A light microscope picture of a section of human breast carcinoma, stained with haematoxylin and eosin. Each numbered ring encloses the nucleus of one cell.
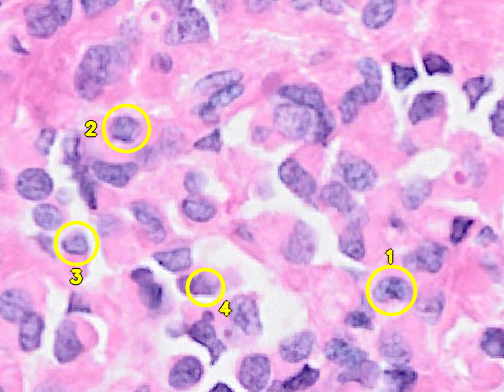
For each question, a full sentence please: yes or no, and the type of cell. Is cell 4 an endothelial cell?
No, the cell labelled 4 is a carcinoma cell and not an endothelial cell.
